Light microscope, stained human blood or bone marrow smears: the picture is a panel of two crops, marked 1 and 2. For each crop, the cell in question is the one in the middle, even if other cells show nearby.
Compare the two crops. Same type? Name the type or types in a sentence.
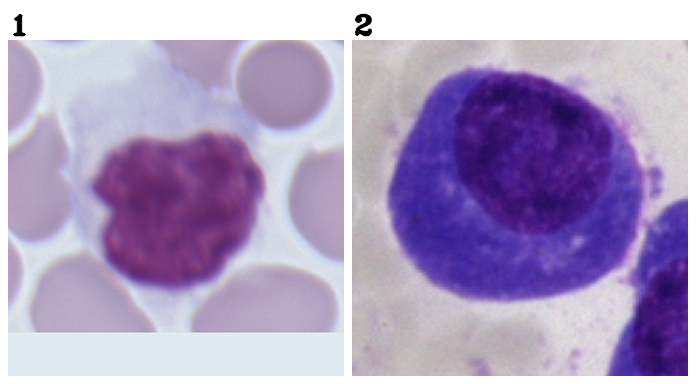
No, crop 1 features a hairy cell, and crop 2 features a plasma cell.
